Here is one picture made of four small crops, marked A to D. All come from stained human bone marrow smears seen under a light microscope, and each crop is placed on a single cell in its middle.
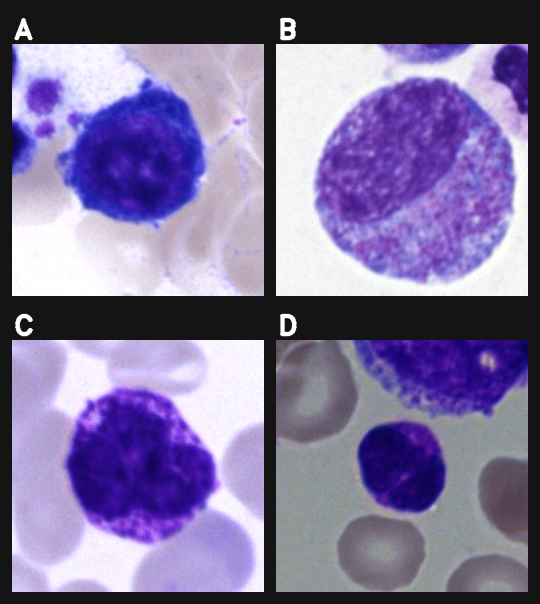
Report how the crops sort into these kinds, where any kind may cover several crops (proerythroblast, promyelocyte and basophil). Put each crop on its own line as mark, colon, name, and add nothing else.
A: proerythroblast
B: promyelocyte
C: basophil
D: basophil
